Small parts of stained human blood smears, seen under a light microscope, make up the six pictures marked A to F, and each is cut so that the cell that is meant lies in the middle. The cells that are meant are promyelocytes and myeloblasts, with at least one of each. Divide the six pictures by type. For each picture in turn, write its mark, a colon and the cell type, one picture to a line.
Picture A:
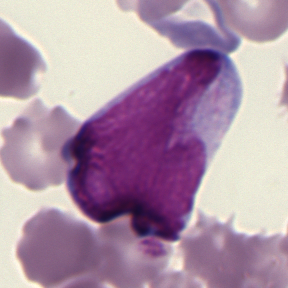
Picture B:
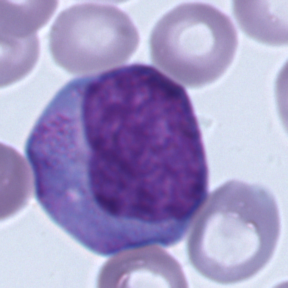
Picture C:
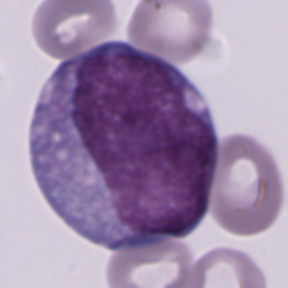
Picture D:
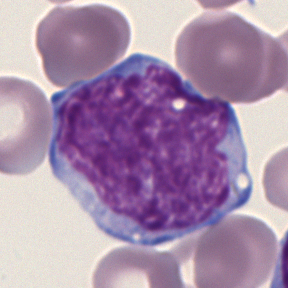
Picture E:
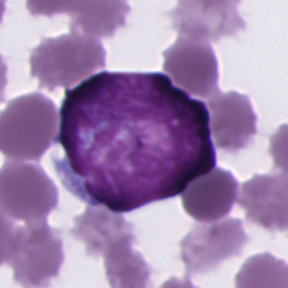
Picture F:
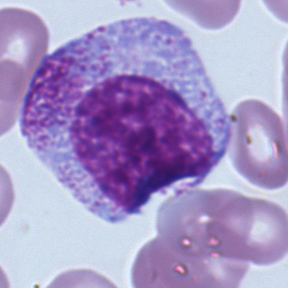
A: myeloblast
B: promyelocyte
C: promyelocyte
D: myeloblast
E: myeloblast
F: promyelocyte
